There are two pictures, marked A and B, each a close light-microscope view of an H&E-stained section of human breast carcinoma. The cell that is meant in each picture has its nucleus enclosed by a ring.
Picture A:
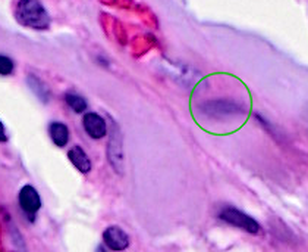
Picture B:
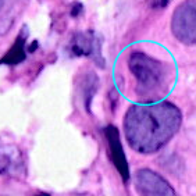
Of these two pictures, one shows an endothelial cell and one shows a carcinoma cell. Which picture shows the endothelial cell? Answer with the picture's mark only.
A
